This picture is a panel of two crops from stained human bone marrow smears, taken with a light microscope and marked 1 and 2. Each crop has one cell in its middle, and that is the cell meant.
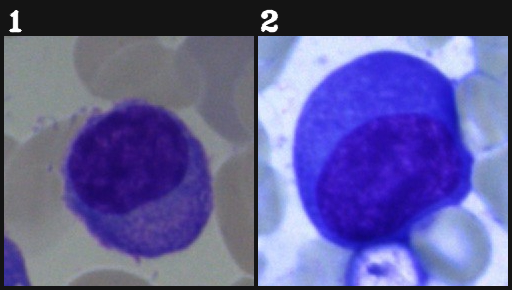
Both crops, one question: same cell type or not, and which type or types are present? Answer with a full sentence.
Yes, plasma cells are at the centre in both crops.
